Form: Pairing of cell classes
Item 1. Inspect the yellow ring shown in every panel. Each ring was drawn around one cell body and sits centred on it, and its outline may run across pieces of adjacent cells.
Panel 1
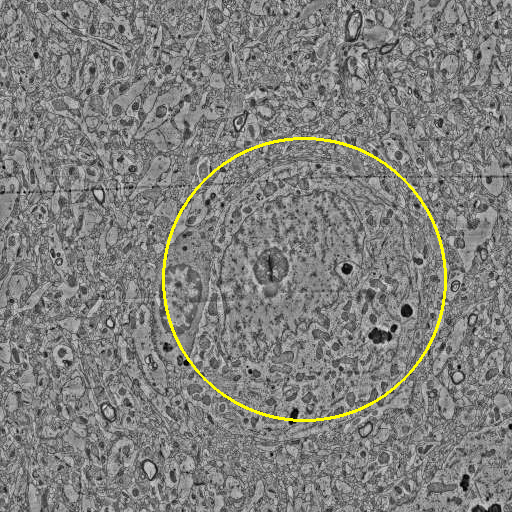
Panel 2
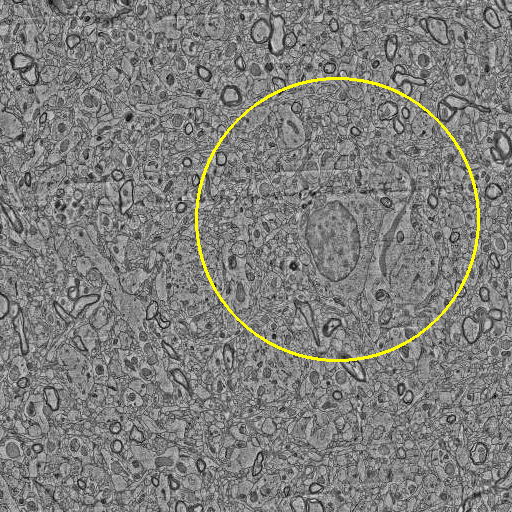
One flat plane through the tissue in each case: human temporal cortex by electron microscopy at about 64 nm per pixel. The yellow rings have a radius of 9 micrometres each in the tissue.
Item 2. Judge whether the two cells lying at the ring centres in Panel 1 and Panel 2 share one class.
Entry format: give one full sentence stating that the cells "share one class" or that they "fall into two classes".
The cells at the ring centres in Panel 1 and Panel 2 fall into two classes.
